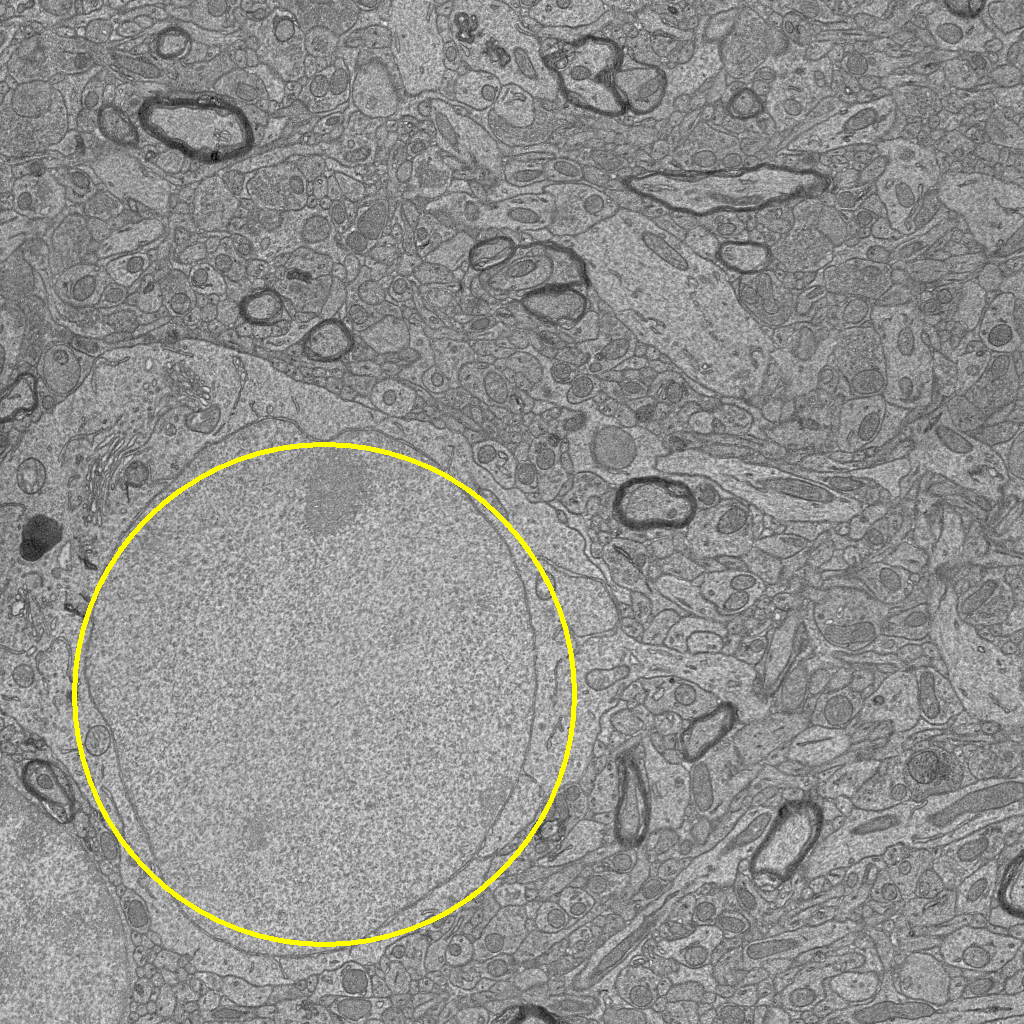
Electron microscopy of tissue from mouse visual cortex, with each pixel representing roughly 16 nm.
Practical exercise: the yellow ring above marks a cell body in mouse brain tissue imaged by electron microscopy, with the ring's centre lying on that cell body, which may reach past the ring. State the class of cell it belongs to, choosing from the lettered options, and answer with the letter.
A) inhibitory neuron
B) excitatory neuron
B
